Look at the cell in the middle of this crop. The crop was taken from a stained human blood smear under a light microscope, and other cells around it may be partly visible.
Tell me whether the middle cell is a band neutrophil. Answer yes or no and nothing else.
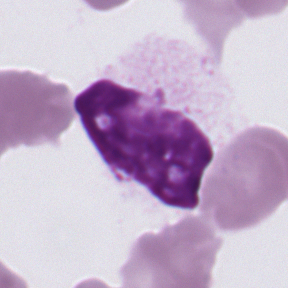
no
